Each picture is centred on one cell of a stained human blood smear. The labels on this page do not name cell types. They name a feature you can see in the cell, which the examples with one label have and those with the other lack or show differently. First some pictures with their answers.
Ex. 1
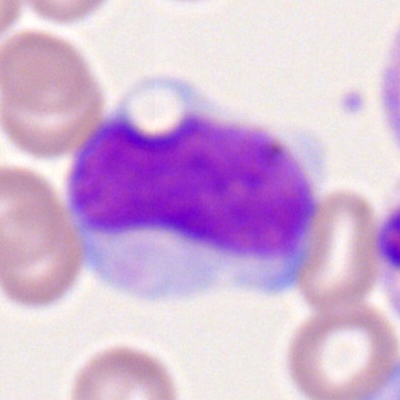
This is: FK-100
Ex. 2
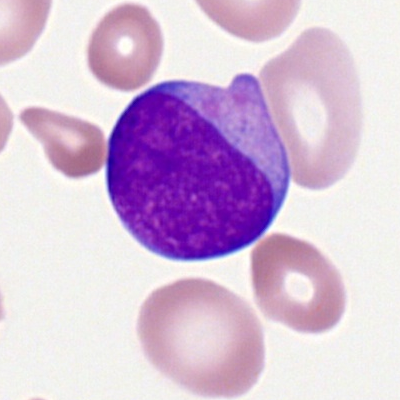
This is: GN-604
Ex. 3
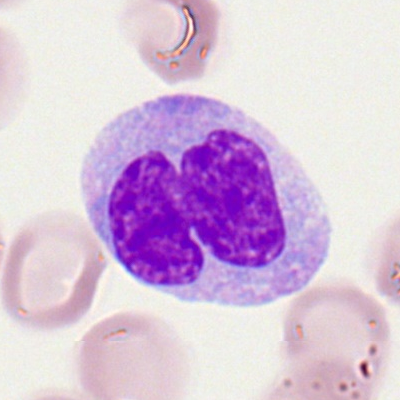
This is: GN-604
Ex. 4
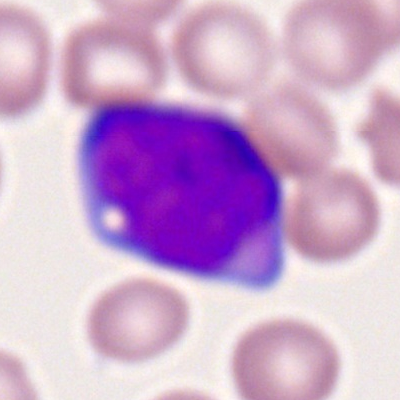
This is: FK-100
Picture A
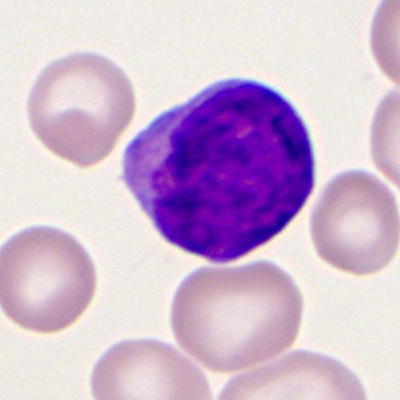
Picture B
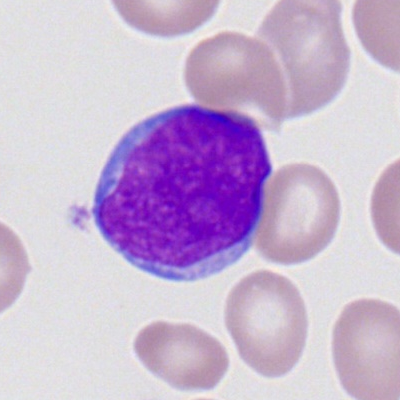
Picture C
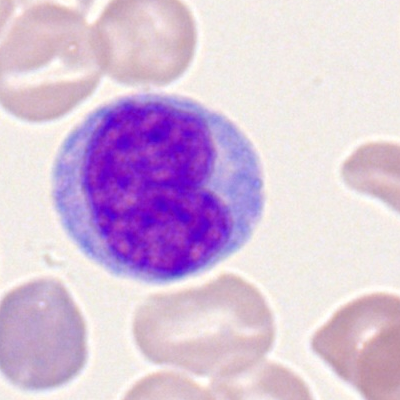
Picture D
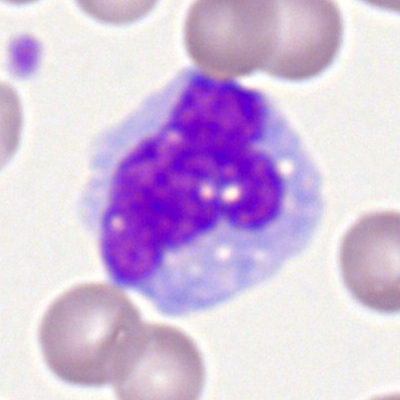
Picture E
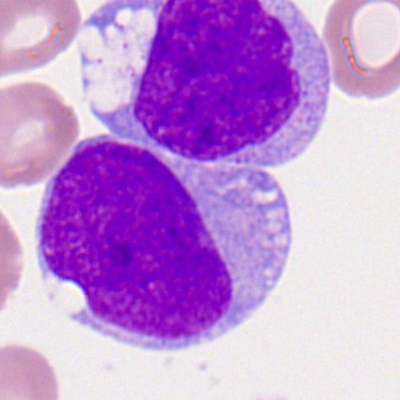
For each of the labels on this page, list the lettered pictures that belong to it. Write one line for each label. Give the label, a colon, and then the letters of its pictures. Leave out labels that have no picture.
FK-100: D, E
GN-604: A, B, C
